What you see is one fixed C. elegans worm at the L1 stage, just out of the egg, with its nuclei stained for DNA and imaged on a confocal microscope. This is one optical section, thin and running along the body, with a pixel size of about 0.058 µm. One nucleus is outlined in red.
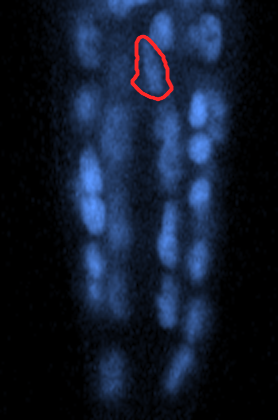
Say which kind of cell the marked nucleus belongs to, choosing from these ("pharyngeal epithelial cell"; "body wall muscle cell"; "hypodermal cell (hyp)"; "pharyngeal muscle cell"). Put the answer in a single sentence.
The cell with the marked nucleus is a pharyngeal muscle cell.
